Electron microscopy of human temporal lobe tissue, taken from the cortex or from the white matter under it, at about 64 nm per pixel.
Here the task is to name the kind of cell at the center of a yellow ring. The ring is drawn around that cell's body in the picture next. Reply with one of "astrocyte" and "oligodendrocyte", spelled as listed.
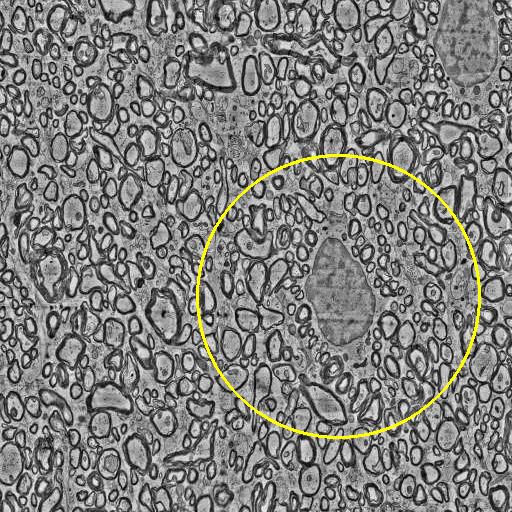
oligodendrocyte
